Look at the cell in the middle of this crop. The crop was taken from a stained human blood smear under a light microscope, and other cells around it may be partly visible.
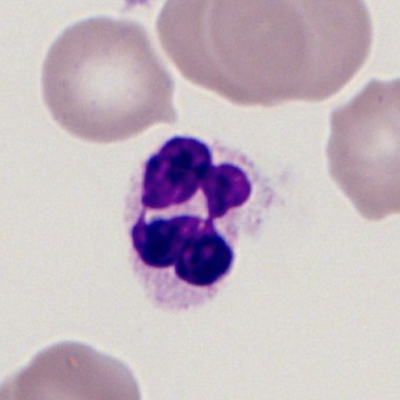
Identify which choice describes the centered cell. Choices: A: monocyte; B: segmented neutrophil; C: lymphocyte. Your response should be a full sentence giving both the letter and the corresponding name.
The middle of the crop contains a segmented neutrophil, so option B is right.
